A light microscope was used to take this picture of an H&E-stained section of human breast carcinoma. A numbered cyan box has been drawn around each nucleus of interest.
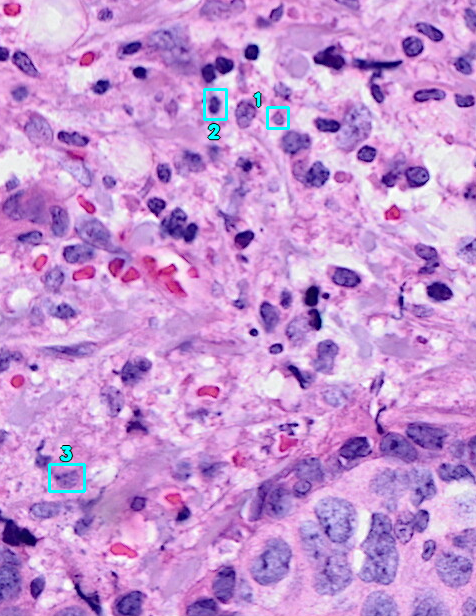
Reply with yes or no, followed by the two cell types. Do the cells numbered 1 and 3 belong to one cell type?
Yes, both are macrophages, monocytes or dendritic cells.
